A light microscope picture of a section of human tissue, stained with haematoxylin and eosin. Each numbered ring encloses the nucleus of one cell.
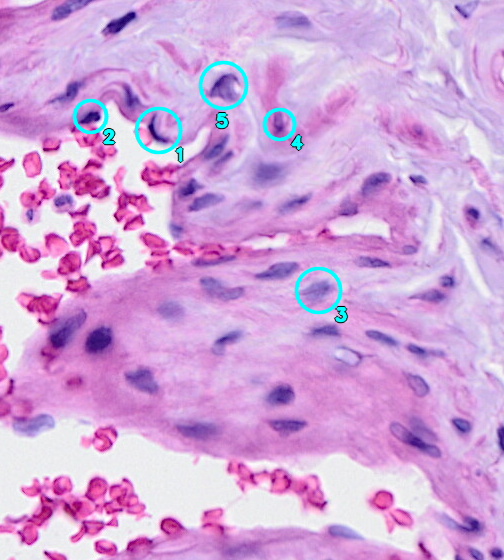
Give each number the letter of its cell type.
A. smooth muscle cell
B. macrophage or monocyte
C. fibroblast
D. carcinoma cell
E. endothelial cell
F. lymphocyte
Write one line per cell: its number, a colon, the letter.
1: E
2: E
3: C
4: A
5: C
